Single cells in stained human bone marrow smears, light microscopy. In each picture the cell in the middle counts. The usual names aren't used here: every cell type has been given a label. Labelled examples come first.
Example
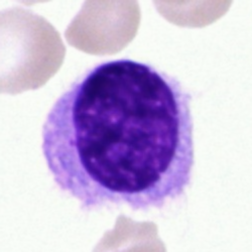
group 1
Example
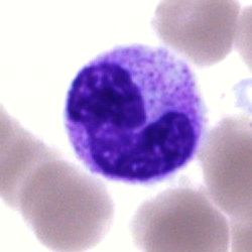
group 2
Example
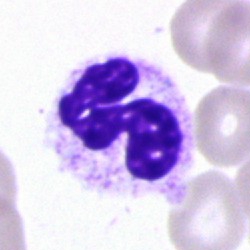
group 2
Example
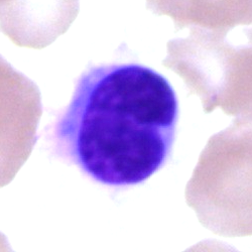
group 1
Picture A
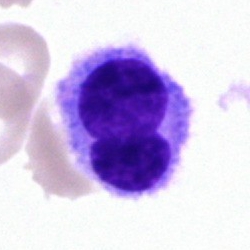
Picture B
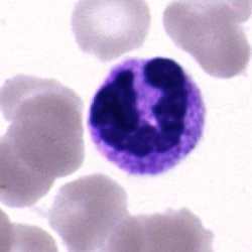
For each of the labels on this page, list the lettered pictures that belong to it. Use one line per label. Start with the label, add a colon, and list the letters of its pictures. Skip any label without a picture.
group 1: A
group 2: B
